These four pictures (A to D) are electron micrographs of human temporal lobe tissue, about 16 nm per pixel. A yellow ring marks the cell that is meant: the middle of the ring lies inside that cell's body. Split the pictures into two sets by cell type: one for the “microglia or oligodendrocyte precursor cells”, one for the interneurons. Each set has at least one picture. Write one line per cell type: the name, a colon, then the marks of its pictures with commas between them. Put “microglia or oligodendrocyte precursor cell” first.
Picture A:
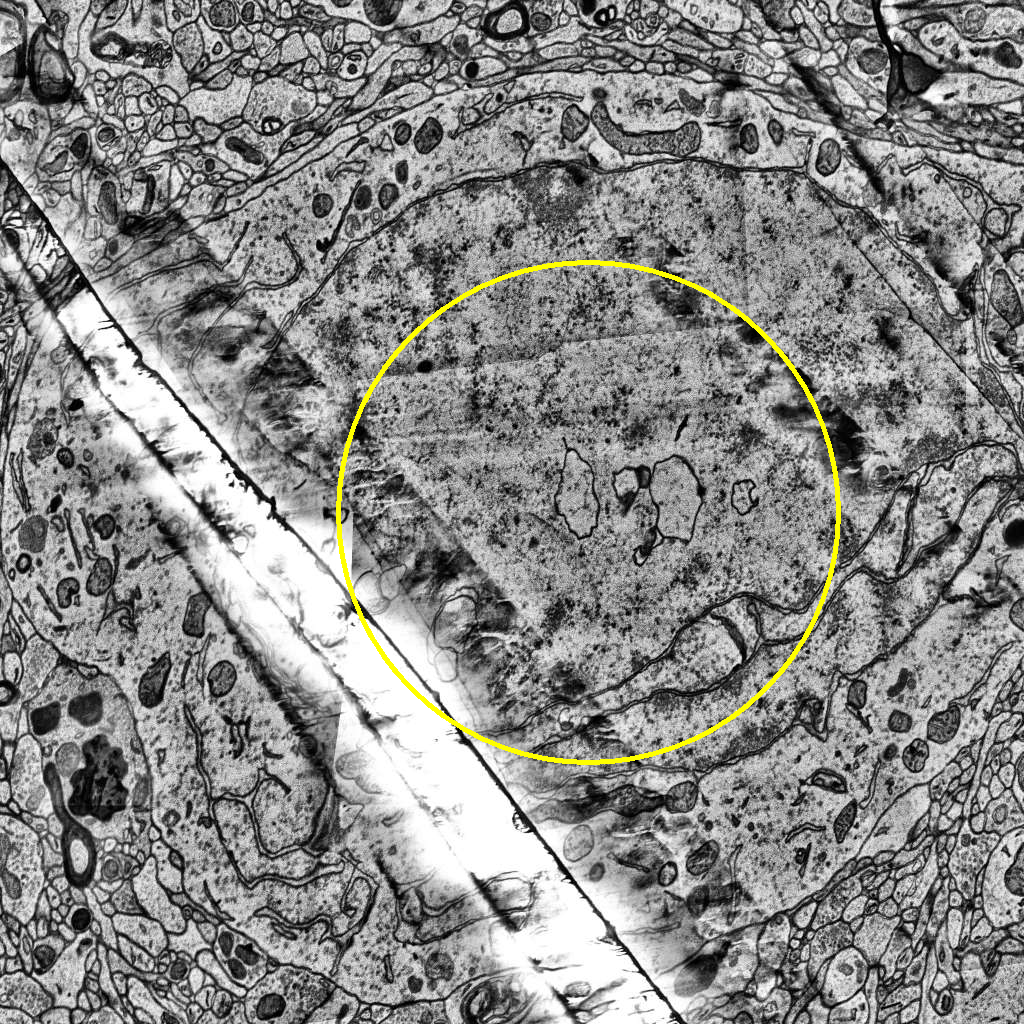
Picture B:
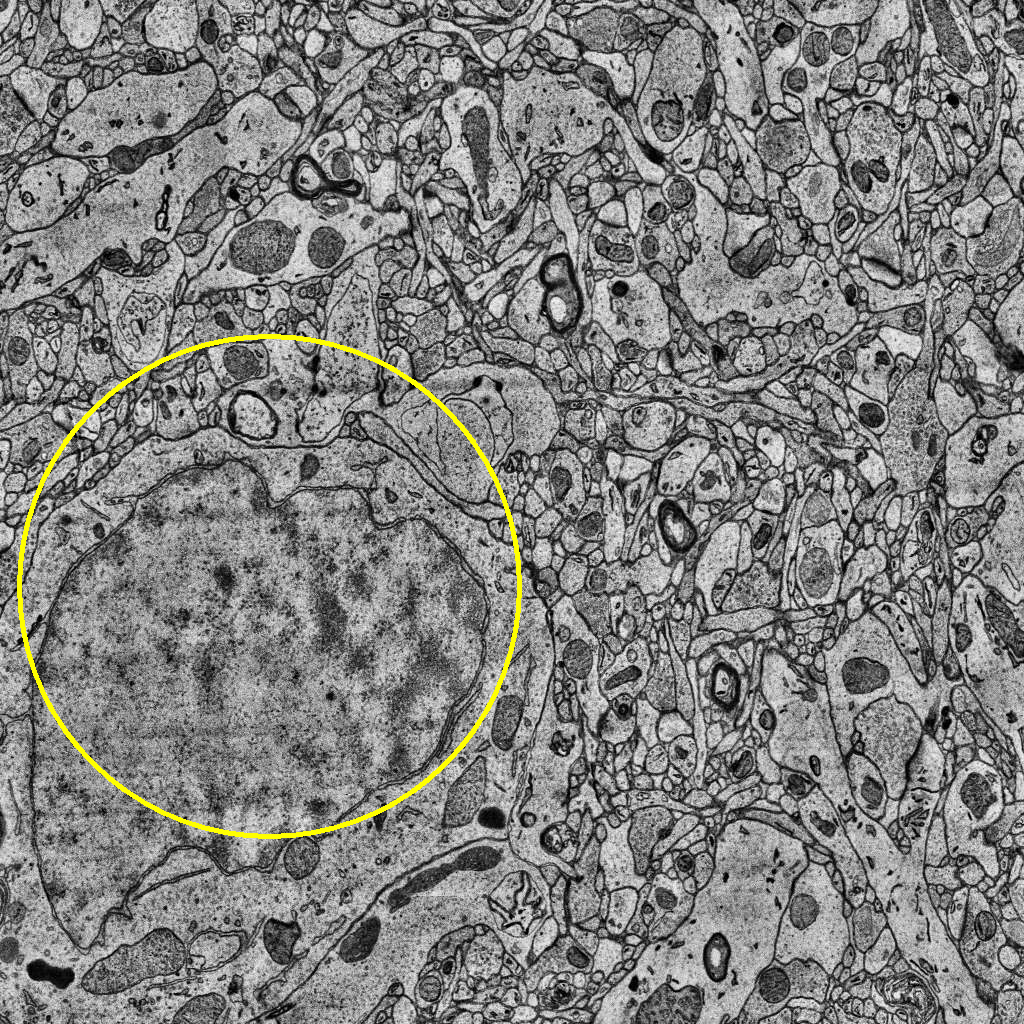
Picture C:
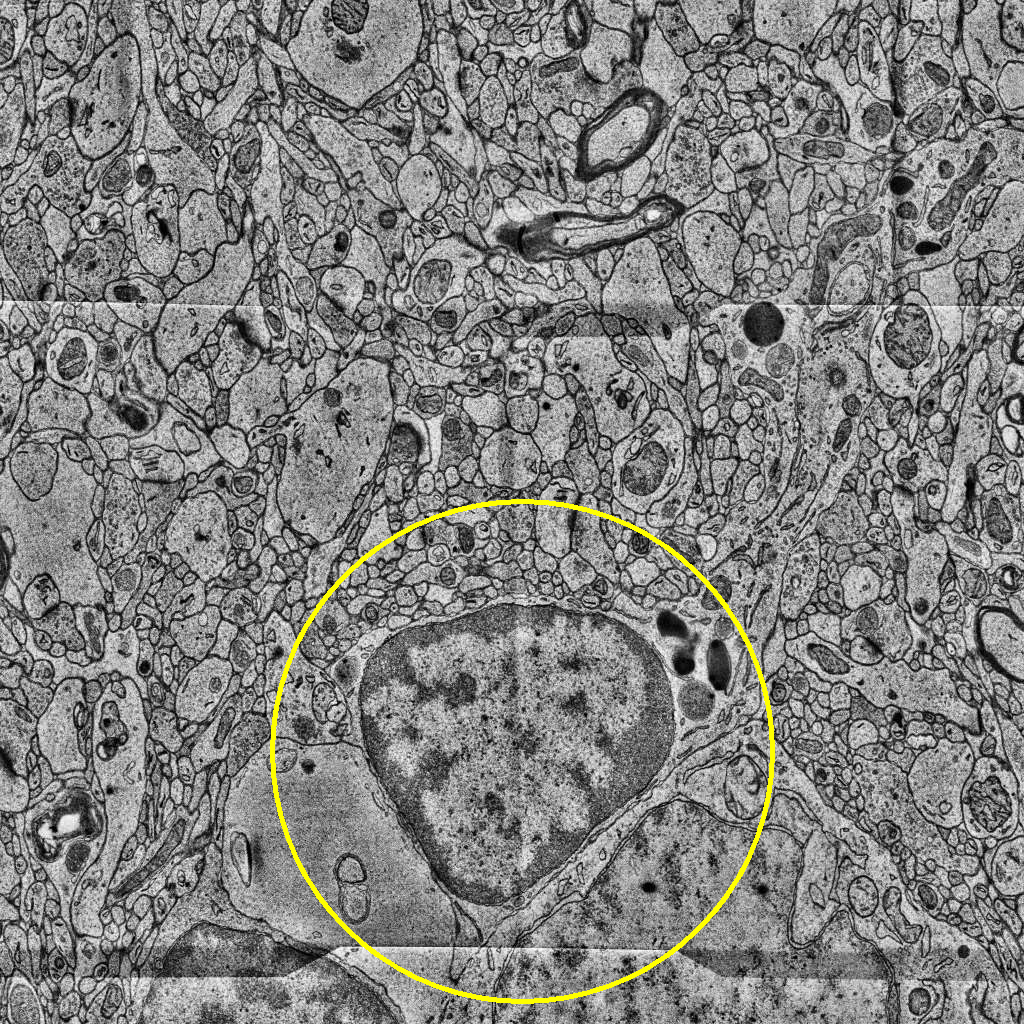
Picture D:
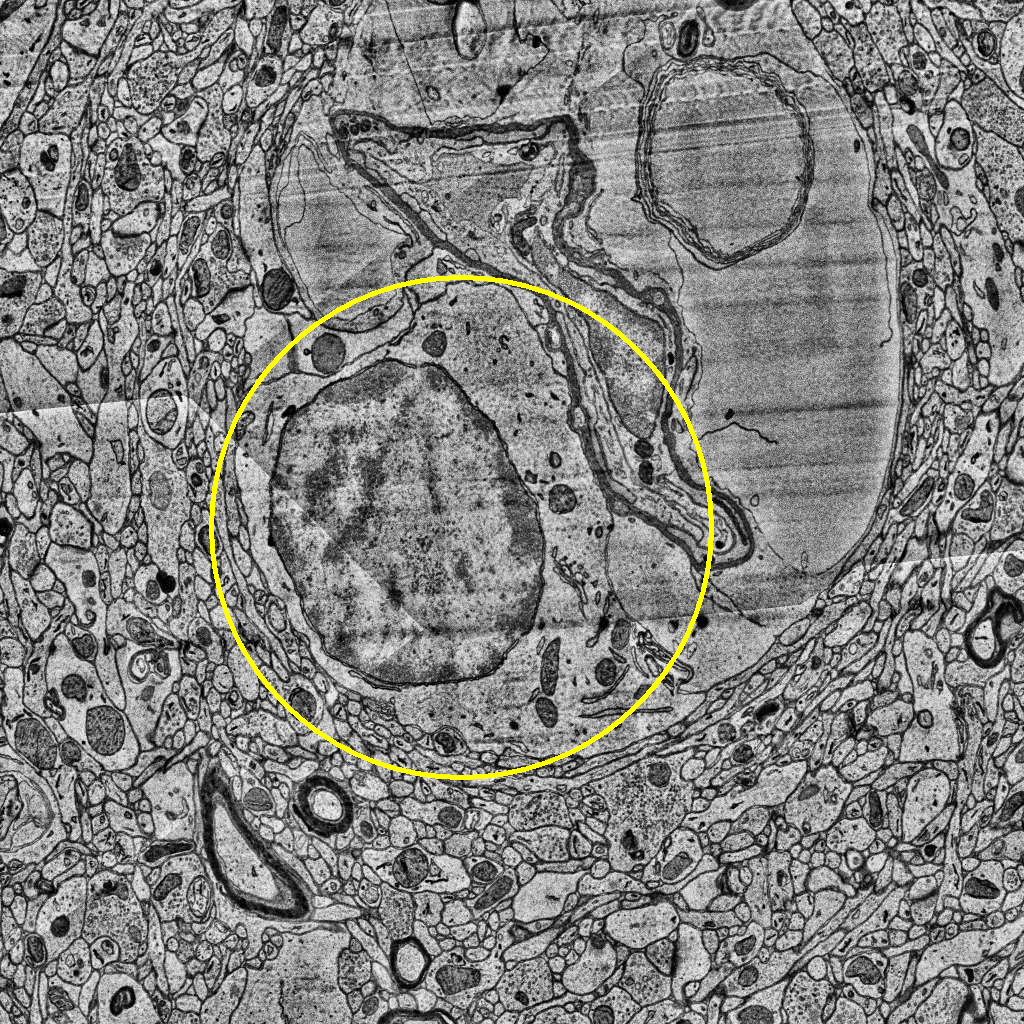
microglia or oligodendrocyte precursor cell: C, D
interneuron: A, B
